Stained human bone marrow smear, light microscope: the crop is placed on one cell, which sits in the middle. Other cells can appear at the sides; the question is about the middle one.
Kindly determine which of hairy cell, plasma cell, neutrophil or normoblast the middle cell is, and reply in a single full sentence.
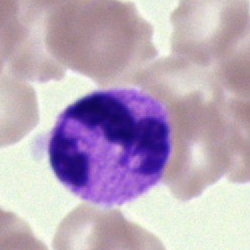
As for the central cell, it is a neutrophil.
